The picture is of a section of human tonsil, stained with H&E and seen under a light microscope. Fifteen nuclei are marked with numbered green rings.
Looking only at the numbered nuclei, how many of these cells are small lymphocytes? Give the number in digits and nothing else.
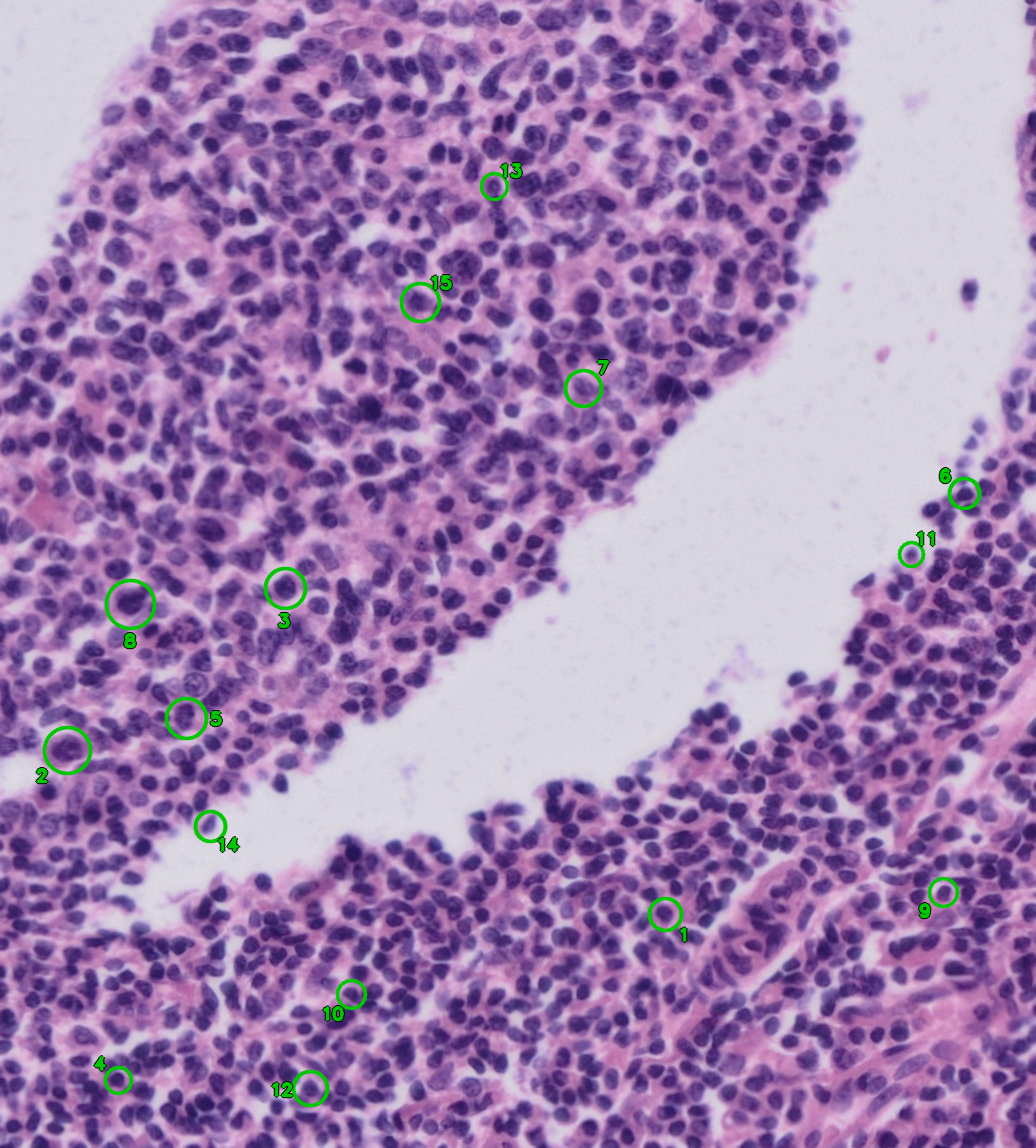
8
